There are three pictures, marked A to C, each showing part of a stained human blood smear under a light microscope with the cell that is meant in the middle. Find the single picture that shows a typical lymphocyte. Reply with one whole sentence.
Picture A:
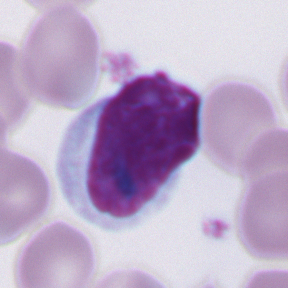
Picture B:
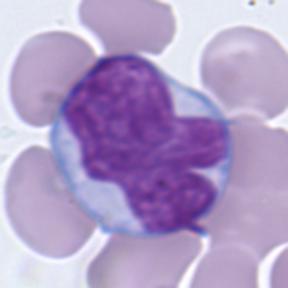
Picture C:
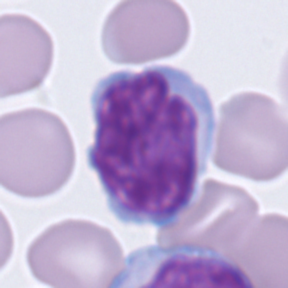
Picture A is the one that shows the typical lymphocyte.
